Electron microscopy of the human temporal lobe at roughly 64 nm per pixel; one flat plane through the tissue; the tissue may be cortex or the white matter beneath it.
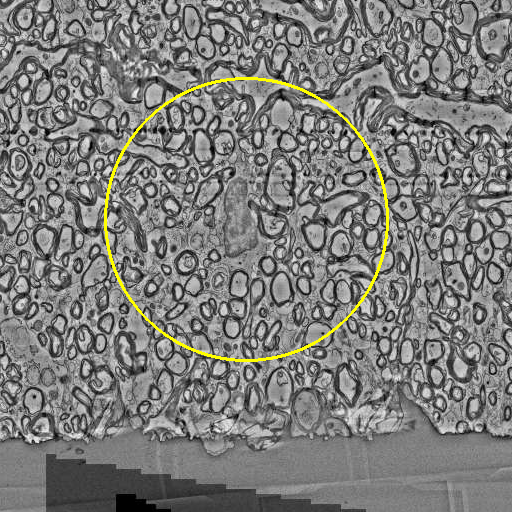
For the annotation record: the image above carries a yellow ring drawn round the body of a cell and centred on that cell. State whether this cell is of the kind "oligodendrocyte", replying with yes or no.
Yes, this cell is of that kind.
